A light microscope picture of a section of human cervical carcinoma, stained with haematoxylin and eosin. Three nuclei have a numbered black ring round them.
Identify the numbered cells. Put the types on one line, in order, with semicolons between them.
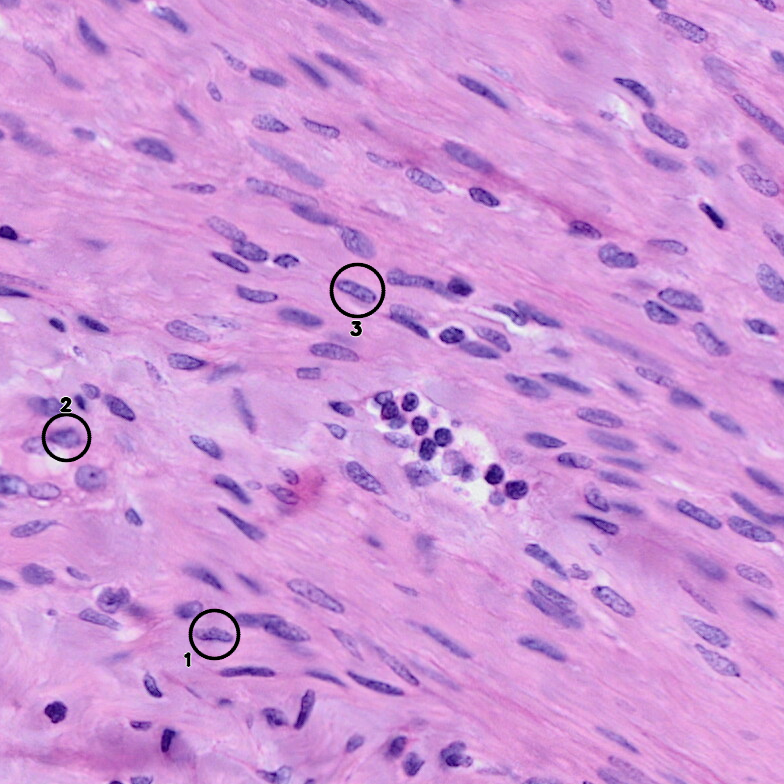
fibroblast; endothelial cell; fibroblast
